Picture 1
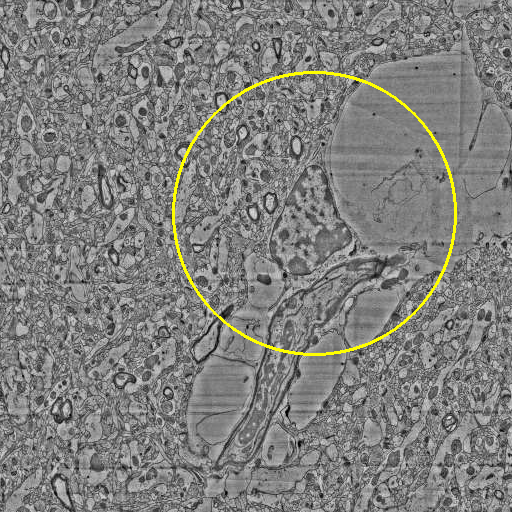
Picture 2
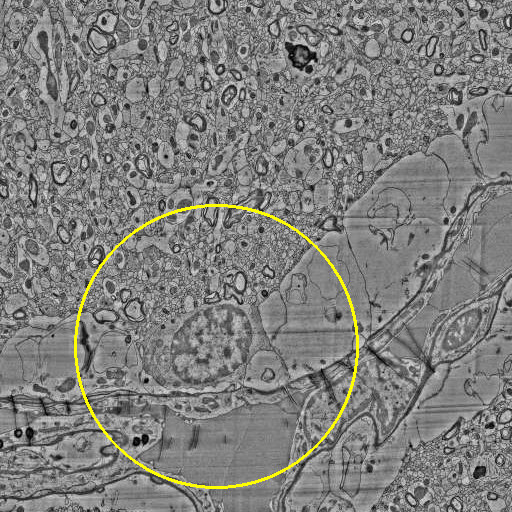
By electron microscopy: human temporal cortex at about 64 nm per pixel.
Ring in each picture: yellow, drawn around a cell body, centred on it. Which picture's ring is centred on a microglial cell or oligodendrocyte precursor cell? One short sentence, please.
Picture 1 is the one.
